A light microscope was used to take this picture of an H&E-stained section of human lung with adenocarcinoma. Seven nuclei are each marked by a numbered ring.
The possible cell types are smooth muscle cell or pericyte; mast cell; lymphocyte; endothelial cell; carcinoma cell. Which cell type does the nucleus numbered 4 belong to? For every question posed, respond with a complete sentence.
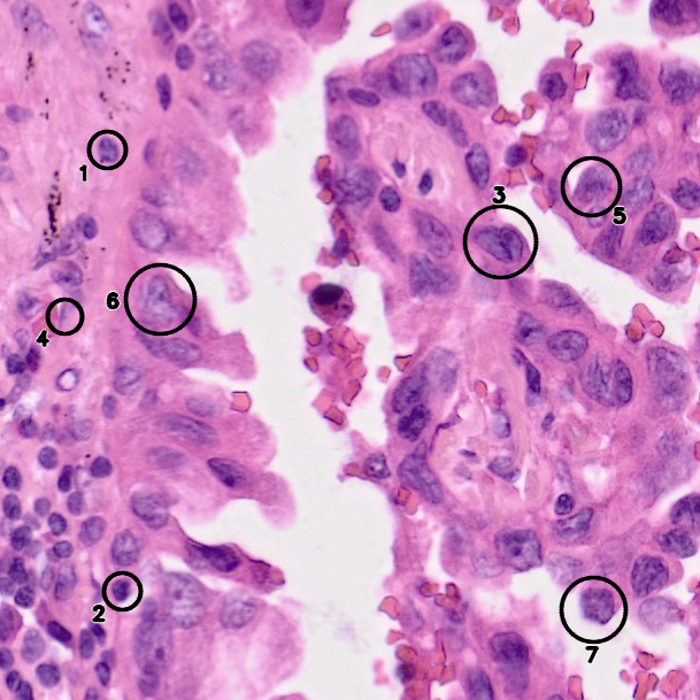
The nucleus labeled 4 belongs to an endothelial cell.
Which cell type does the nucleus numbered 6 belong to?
The cell with the number 6 is a carcinoma cell.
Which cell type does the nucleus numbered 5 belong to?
The cell that goes by number 5 is a carcinoma cell.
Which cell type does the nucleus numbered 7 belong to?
The cell indicated by marker 7 is a carcinoma cell in this section.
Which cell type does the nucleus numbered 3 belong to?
The one numbered 3 among the marked cells is a carcinoma cell.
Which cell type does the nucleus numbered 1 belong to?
Cell 1 is classified as a mast cell.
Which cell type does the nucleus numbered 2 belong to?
Identified as a lymphocyte is the cell bearing the number 2.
